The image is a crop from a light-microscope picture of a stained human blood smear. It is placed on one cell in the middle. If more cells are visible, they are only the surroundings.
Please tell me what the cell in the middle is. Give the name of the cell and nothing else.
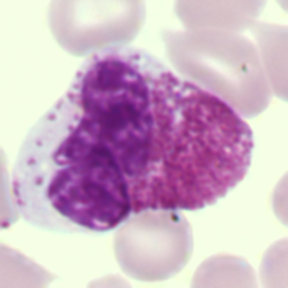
eosinophil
